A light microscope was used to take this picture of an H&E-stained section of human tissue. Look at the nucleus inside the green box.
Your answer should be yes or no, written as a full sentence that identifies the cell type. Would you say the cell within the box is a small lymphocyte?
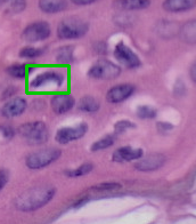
No, the cell within the box counts as a basal keratinocyte rather than as a small lymphocyte.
